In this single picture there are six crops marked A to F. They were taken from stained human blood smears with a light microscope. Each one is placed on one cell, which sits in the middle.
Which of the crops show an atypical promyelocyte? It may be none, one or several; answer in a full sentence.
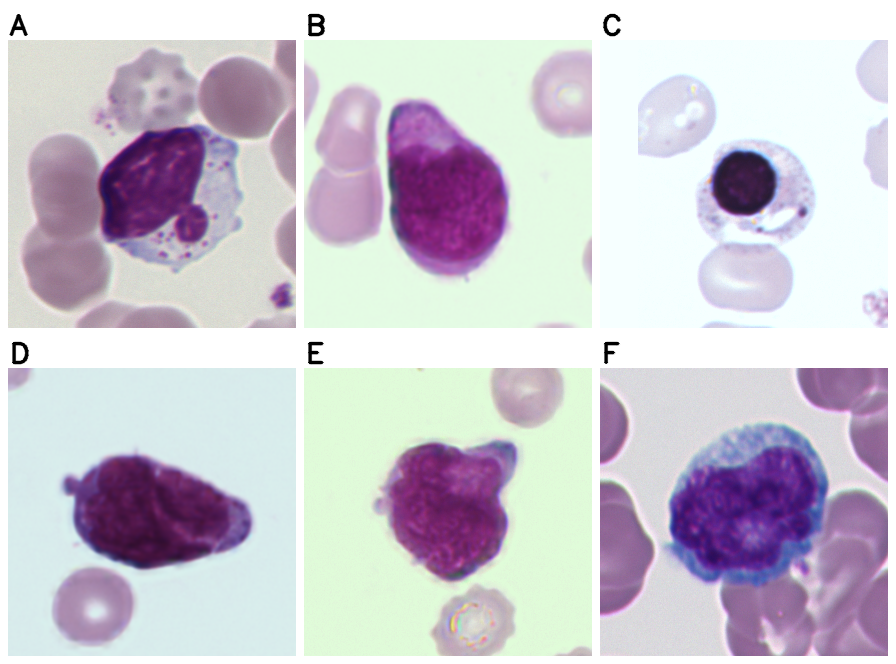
The crops marked B, D and E contain atypical promyelocytes at the centre.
